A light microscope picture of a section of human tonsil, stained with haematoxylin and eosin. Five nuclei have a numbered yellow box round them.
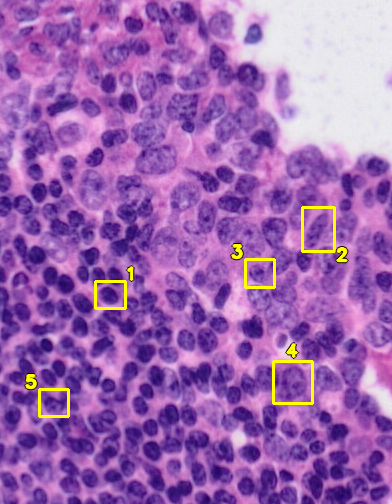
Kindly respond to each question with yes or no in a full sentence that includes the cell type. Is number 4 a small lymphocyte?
No, the cell marked 4 is a proliferating B cell rather than a small lymphocyte.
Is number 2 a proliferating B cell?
Yes, kindly take note: the cell numbered 2 is a proliferating B cell.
